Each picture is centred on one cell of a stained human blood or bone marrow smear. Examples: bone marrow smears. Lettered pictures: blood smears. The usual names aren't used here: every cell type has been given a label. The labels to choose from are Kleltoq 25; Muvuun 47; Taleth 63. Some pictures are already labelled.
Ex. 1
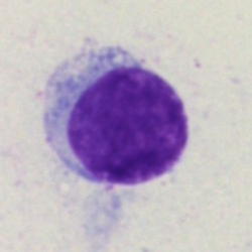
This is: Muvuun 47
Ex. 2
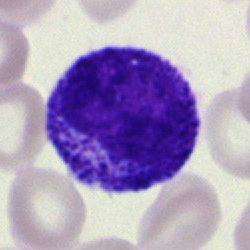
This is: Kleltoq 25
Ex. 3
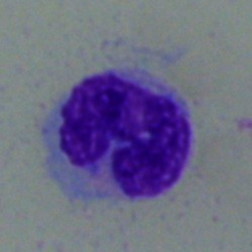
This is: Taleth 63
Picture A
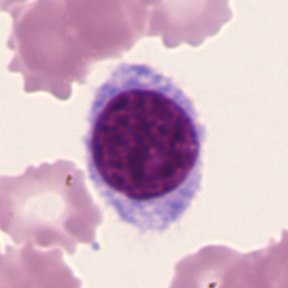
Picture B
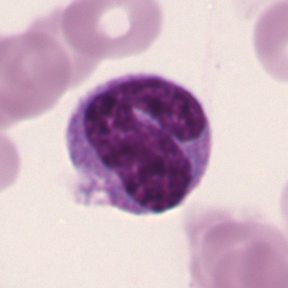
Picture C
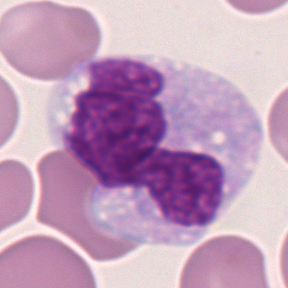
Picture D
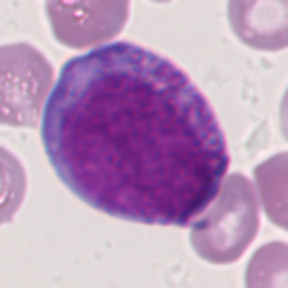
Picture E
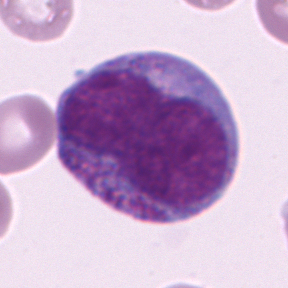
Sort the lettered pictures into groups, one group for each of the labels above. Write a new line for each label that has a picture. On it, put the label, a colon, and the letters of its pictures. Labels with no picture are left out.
Kleltoq 25: D, E
Muvuun 47: A
Taleth 63: B, C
